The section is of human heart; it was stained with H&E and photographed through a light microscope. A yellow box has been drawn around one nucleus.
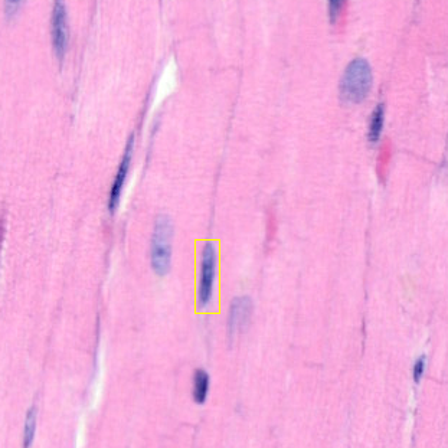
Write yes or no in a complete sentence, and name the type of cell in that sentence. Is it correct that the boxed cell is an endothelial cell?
Yes, by cell type, the boxed cell is an endothelial cell.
